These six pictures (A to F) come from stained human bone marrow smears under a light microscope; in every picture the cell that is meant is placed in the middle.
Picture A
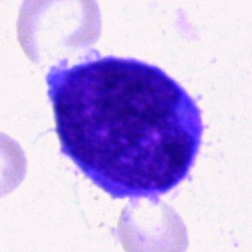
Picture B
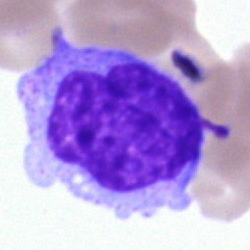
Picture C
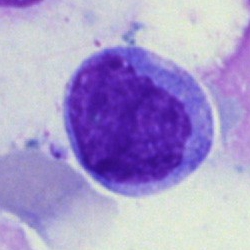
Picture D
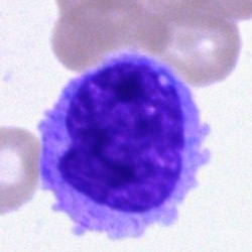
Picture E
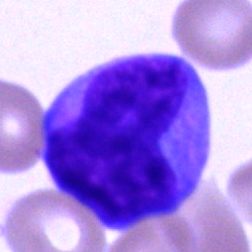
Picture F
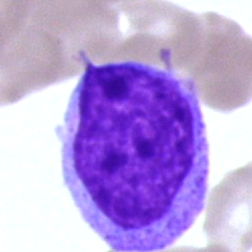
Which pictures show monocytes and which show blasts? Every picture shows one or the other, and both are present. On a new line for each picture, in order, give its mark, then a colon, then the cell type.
A: blast
B: monocyte
C: monocyte
D: monocyte
E: blast
F: blast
